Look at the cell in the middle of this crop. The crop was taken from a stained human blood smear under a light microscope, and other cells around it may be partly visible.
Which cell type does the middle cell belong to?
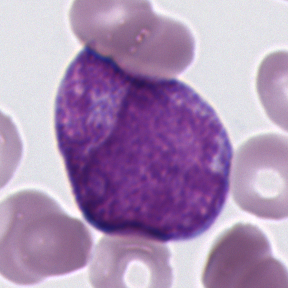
atypical promyelocyte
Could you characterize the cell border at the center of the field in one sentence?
No surface projections are present; the cell outline is smooth.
